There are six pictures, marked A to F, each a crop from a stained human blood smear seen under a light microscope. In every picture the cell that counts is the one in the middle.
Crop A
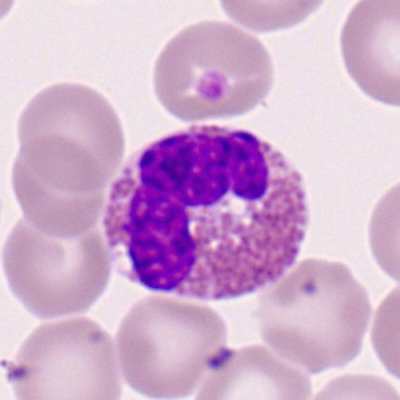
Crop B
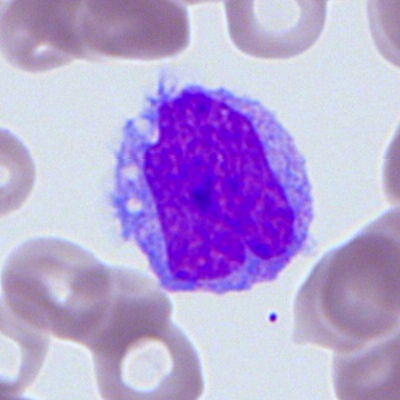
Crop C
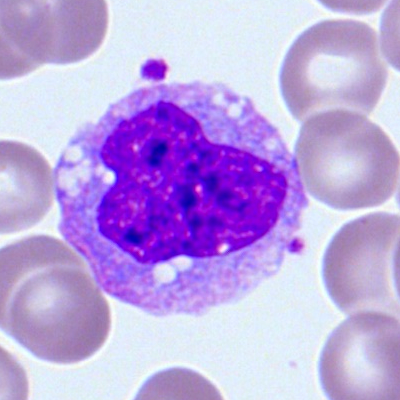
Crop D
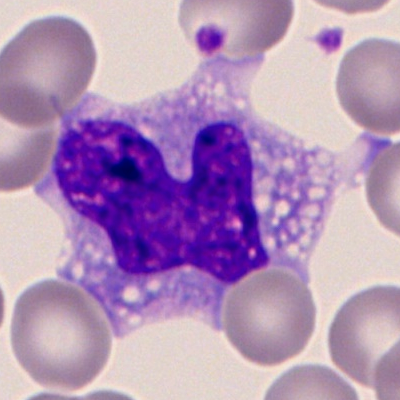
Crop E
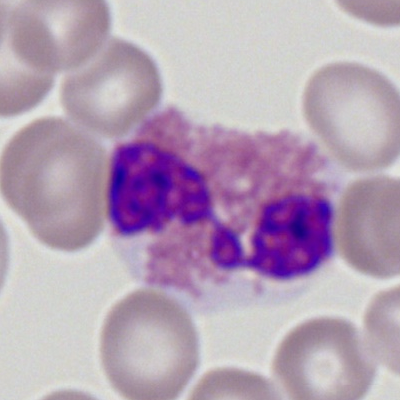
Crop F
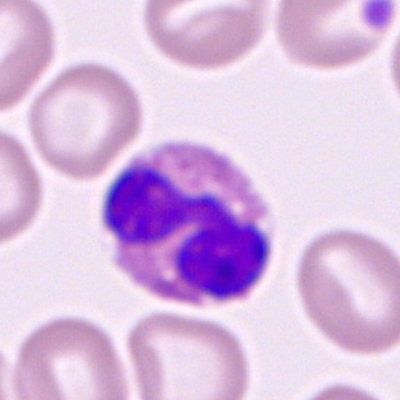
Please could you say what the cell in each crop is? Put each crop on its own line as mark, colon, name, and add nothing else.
A: eosinophil
B: monocyte
C: monocyte
D: monocyte
E: eosinophil
F: eosinophil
